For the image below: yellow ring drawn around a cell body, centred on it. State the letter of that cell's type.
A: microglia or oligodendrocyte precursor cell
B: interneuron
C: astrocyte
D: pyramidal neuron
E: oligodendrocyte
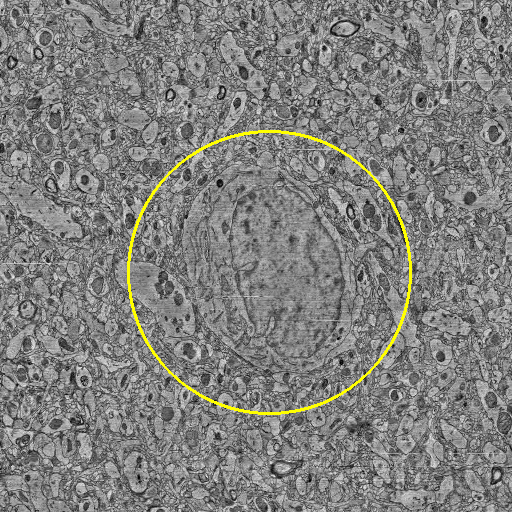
B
